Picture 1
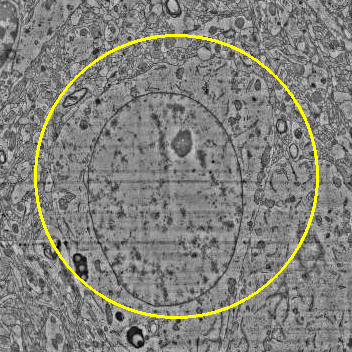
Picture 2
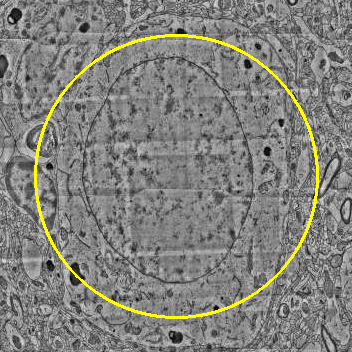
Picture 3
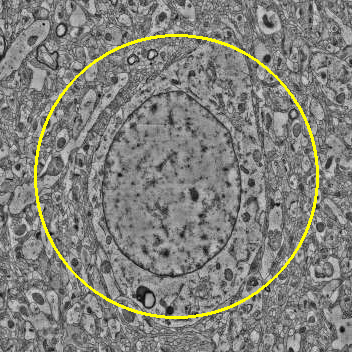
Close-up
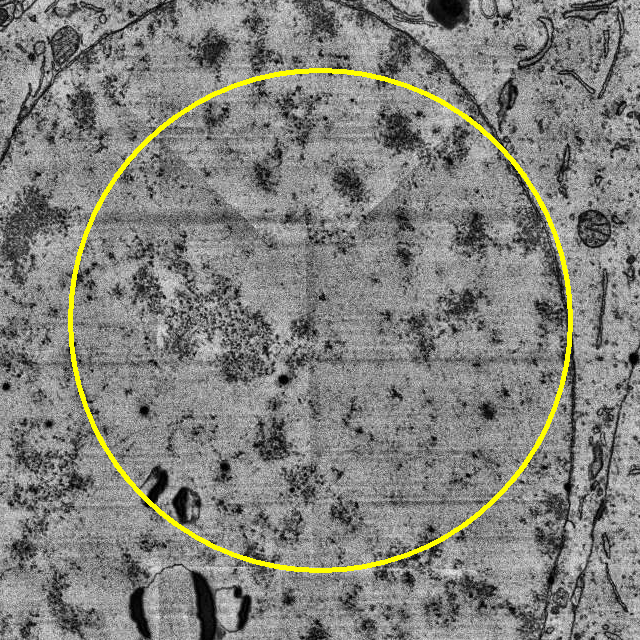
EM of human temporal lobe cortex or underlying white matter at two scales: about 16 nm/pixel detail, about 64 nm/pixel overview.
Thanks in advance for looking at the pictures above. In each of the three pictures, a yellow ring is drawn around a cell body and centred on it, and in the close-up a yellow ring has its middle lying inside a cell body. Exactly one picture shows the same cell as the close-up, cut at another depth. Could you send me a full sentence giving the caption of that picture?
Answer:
The cell in the zoomed view is the one circled in Picture 1.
